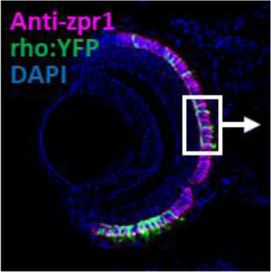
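This section shows a larval eye with the retina's nuclear layers in blue wrapped around the lens. The outermost layer carries a continuous magenta band of closely packed elongated cells all along the curve of the retina. Green cells are interspersed along the same outer layer, most clearly in the upper right and lower parts. The inner retina shows only blue nuclei.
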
